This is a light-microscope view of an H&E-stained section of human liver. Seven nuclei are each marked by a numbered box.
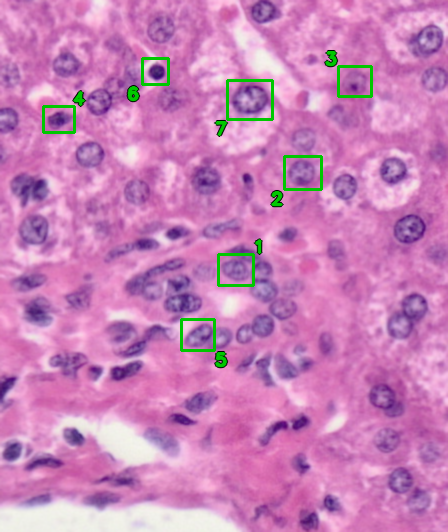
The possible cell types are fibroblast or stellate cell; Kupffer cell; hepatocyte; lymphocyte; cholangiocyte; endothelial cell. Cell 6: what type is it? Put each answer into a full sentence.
Here the cell numbered 6 is a lymphocyte.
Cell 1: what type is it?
In this section, number 1 marks a cholangiocyte.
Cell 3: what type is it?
Number 3 among the marked cells is a hepatocyte.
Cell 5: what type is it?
Belonging to a cholangiocyte is the nucleus that carries the number 5.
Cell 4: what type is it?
The one labeled 4 is a fibroblast or stellate cell, to put it simply.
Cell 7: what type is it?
Among the marked nuclei, number 7 belongs to a hepatocyte.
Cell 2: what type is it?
That cell with number 2 is a hepatocyte.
